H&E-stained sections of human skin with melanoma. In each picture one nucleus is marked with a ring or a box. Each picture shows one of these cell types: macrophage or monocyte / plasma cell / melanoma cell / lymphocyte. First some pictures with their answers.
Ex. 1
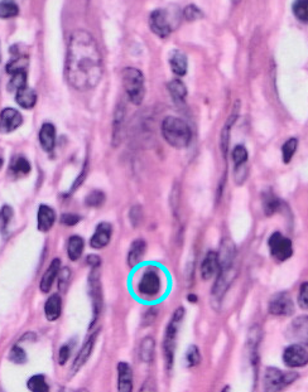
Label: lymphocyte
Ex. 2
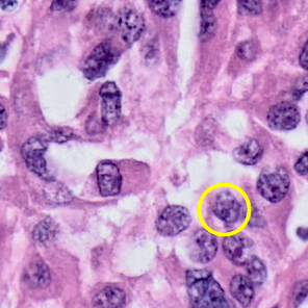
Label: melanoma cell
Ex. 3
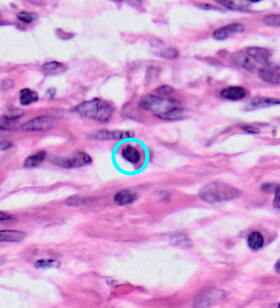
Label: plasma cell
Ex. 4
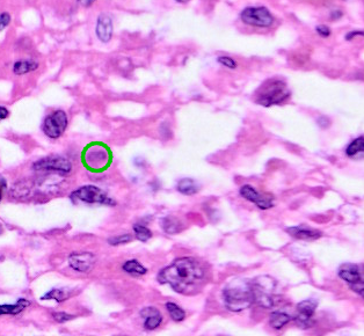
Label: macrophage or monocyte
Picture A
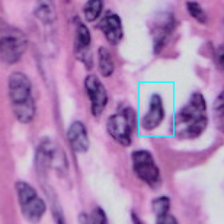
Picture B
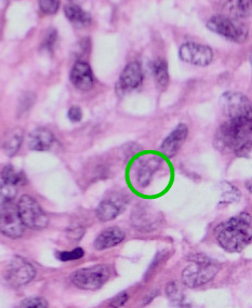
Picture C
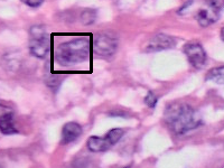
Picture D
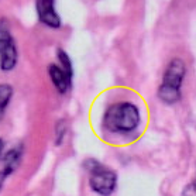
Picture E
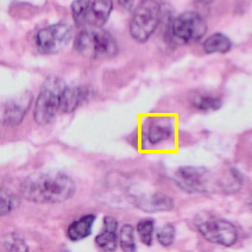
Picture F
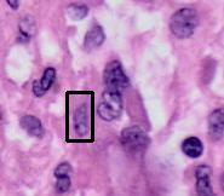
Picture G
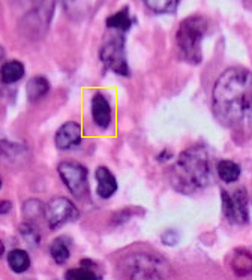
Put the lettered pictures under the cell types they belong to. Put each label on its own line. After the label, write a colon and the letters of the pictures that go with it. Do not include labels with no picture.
macrophage or monocyte: D, F
melanoma cell: B, C, E
lymphocyte: A, G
